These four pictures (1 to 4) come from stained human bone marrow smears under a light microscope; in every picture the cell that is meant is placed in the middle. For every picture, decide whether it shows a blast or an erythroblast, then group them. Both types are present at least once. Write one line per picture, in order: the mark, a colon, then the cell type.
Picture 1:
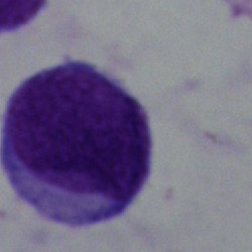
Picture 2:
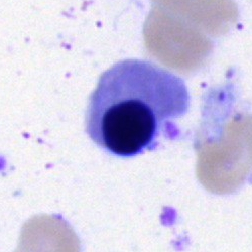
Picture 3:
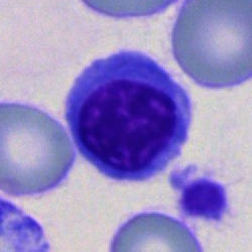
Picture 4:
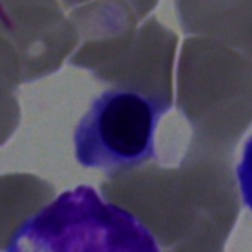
1: blast
2: erythroblast
3: erythroblast
4: erythroblast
